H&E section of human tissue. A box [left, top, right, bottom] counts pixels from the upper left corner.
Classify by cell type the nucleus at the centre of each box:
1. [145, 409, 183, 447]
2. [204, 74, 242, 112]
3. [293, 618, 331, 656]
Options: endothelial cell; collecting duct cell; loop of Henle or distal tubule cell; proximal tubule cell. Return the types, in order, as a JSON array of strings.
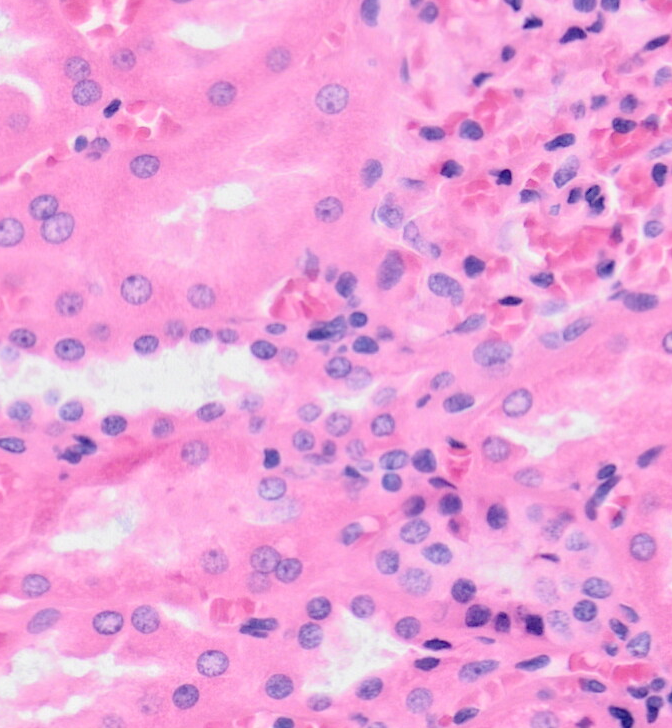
["loop of Henle or distal tubule cell", "proximal tubule cell", "loop of Henle or distal tubule cell"]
